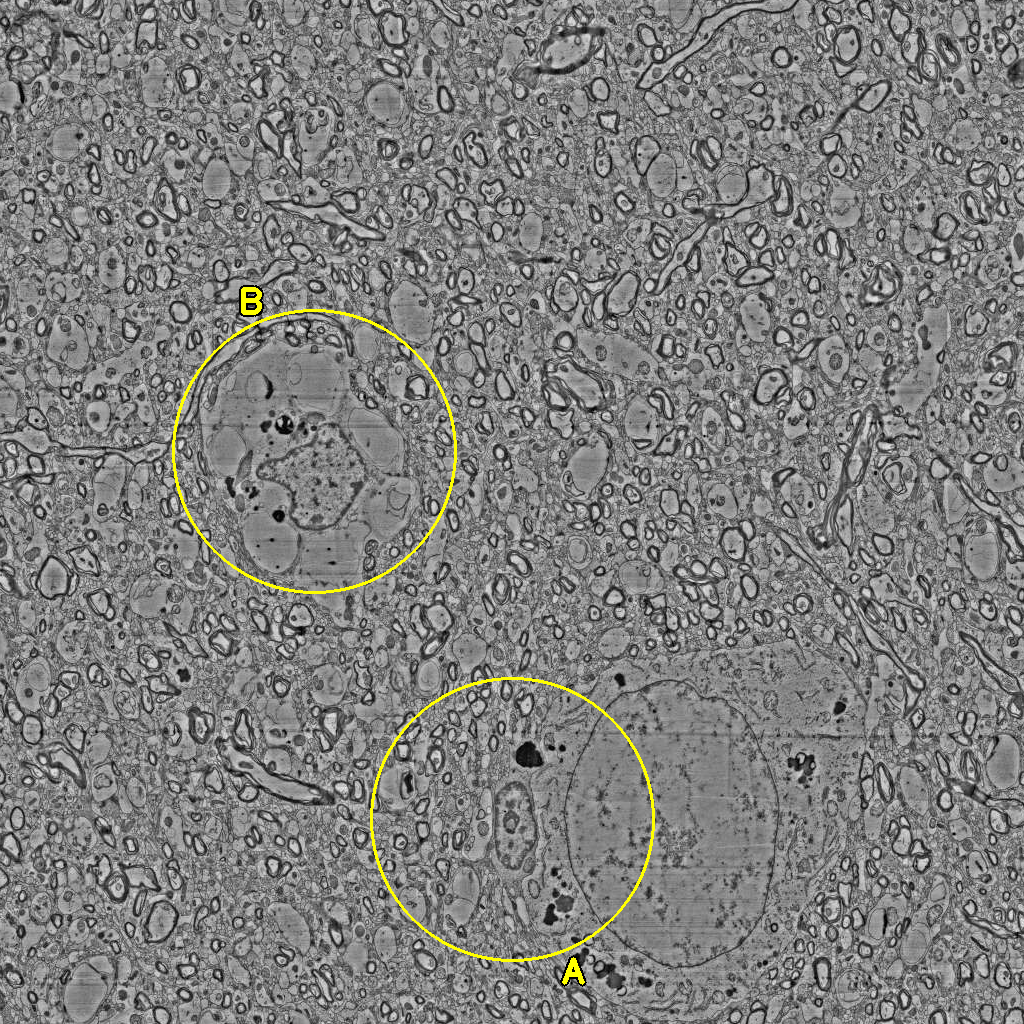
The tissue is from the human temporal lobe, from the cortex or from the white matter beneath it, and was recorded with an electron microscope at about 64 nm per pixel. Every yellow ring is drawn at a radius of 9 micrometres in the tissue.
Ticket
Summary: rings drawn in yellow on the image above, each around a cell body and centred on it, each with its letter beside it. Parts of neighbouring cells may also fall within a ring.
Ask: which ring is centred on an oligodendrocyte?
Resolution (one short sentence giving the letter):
The ring marked A is centred on it.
